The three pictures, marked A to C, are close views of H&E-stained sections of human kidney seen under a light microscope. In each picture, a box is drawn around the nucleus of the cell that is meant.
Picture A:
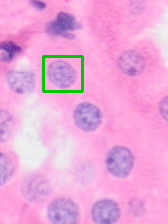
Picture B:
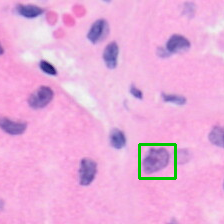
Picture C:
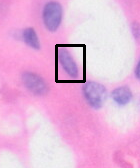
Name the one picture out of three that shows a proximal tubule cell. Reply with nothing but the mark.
B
